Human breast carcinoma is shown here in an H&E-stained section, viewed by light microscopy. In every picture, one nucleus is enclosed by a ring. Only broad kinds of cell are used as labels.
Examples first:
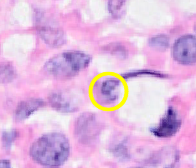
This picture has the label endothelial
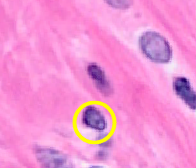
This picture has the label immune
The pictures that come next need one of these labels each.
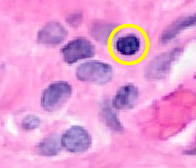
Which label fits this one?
immune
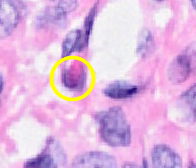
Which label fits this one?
endothelial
